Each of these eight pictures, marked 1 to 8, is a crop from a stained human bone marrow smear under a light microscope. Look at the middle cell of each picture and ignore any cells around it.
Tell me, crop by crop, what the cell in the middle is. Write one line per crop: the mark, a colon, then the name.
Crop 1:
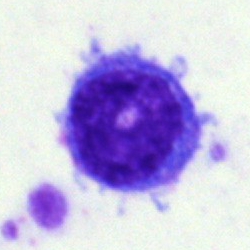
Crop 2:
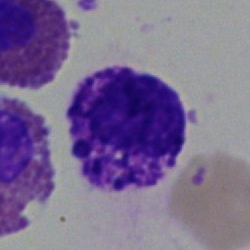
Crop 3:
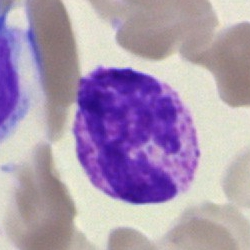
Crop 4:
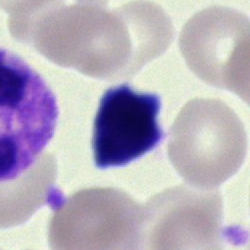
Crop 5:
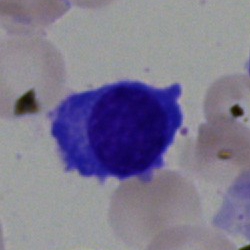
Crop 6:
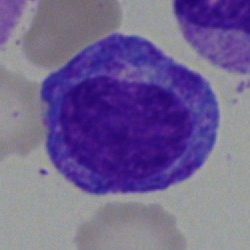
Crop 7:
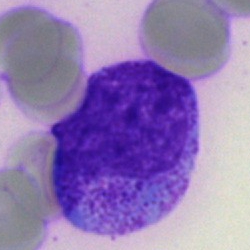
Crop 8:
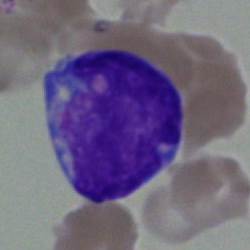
1: blast
2: basophil
3: basophil
4: lymphocyte
5: plasma cell
6: promyelocyte
7: myelocyte
8: blast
